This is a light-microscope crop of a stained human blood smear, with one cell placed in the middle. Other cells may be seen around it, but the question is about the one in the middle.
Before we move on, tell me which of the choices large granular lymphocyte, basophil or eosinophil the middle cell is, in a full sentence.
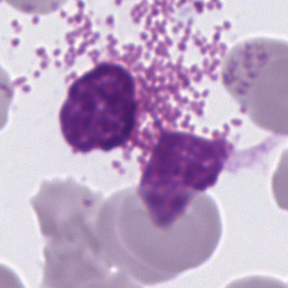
Where the crop is centred, there is an eosinophil.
